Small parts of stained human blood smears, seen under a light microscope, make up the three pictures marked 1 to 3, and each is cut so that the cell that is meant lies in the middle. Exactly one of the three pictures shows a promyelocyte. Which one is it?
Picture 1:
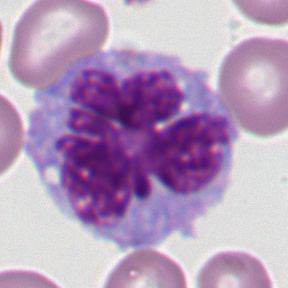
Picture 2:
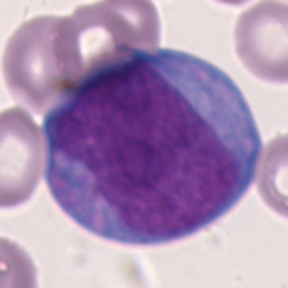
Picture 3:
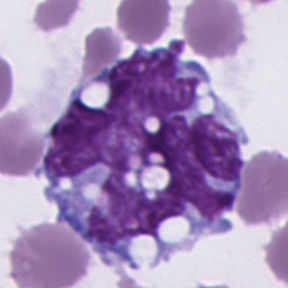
2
